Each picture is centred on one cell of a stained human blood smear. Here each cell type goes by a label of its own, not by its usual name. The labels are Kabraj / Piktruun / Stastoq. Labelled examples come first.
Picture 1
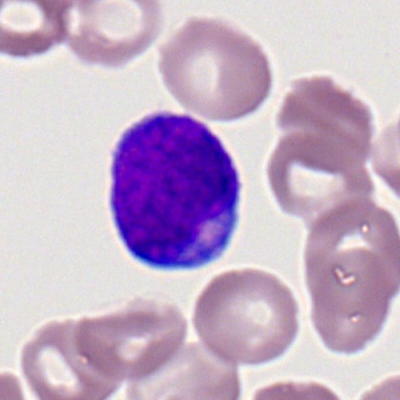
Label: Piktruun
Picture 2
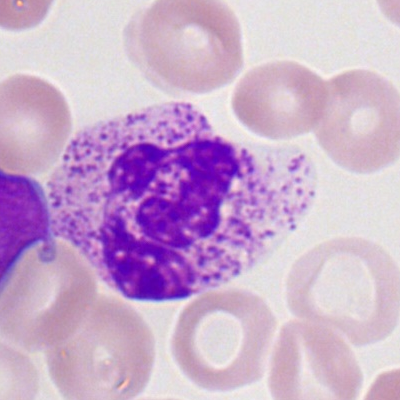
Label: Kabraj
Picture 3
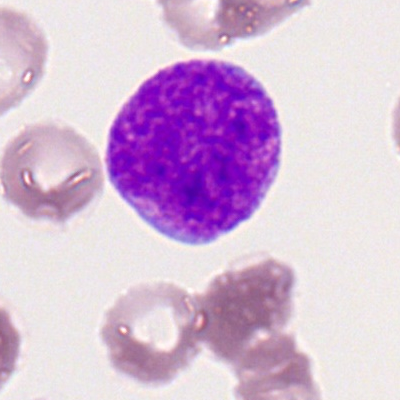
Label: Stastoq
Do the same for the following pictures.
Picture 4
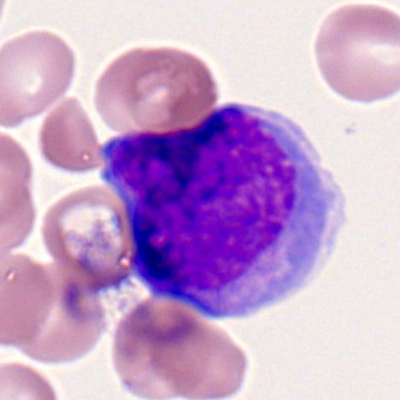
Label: Stastoq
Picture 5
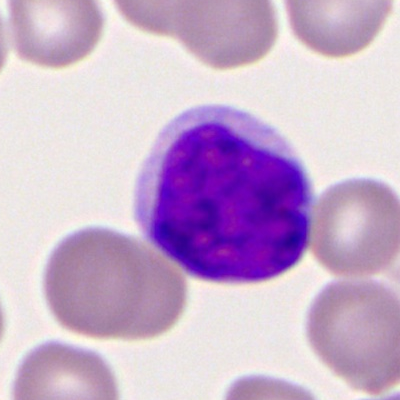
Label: Piktruun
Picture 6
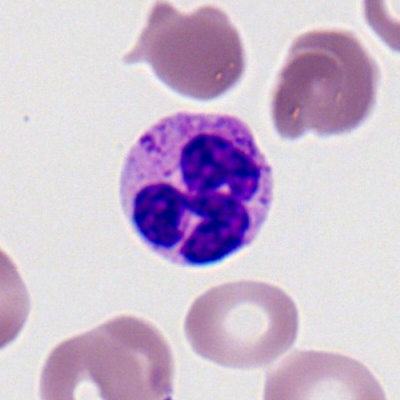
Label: Kabraj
